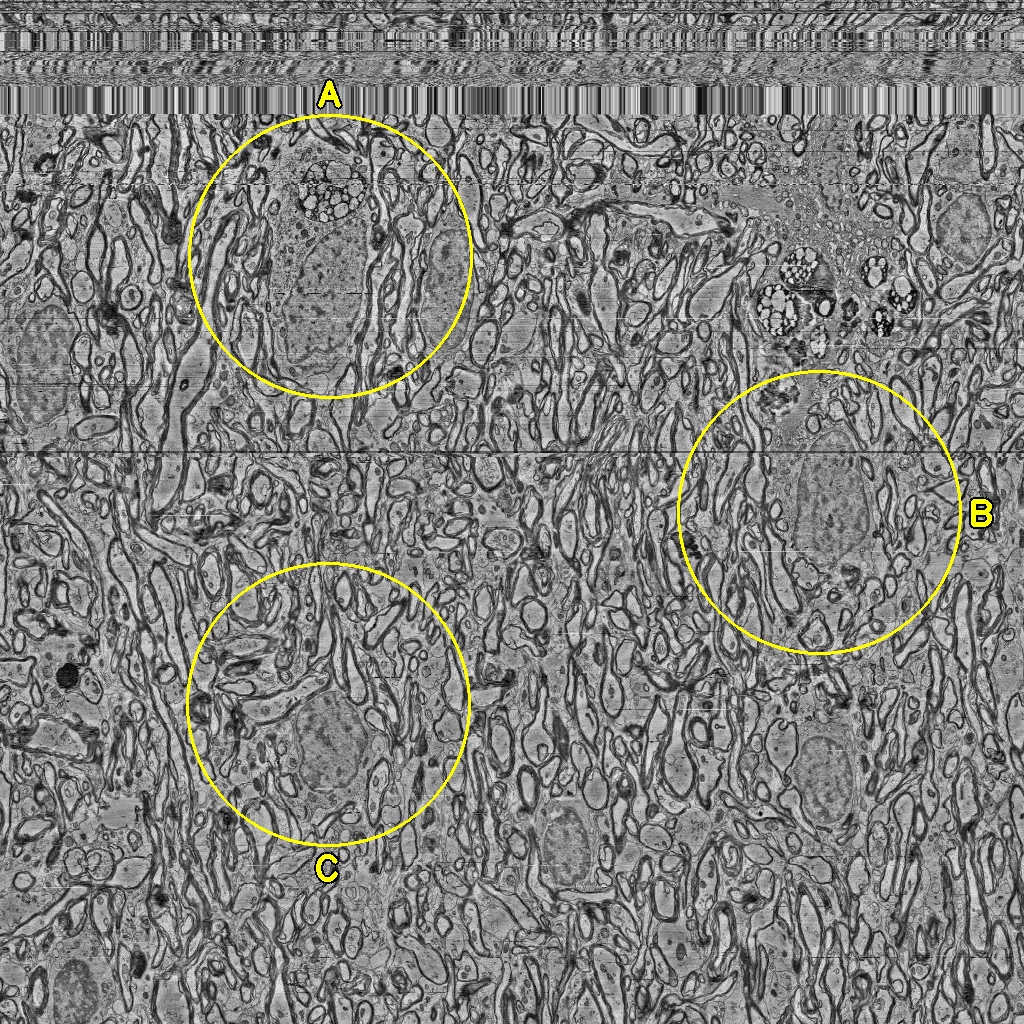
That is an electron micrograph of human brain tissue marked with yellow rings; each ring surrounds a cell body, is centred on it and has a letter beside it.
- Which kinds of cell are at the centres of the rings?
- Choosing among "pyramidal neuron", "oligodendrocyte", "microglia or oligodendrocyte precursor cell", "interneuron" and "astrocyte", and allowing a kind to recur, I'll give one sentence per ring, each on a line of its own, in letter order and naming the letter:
Ring A sits around an astrocyte.
Ring B sits around an oligodendrocyte.
Ring C sits around an oligodendrocyte.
